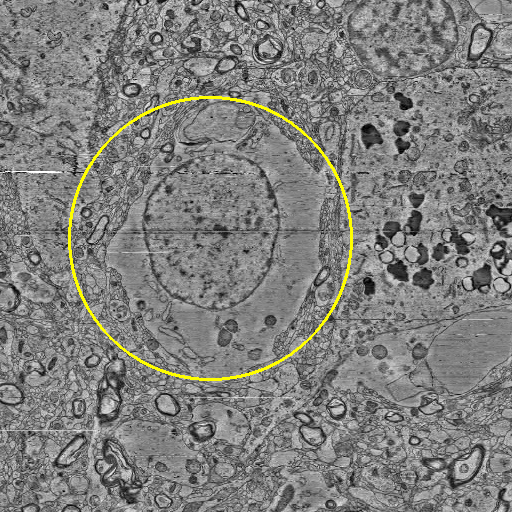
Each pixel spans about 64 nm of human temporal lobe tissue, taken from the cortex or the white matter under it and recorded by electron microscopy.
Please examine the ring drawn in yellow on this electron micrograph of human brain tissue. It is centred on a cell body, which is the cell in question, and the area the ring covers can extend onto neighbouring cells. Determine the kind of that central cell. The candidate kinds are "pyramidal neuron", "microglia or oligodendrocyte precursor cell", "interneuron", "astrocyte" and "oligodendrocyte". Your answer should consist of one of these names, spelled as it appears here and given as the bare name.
astrocyte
